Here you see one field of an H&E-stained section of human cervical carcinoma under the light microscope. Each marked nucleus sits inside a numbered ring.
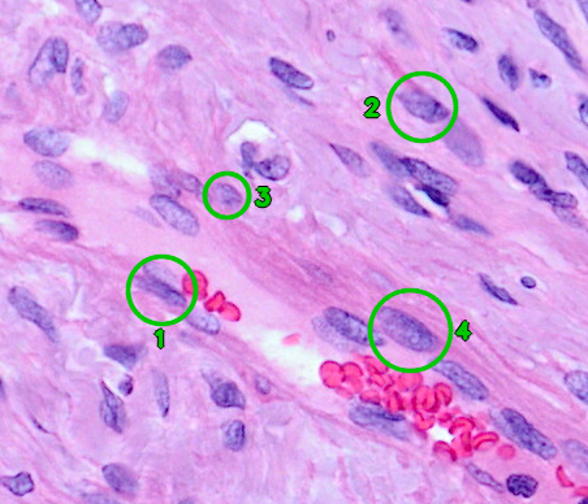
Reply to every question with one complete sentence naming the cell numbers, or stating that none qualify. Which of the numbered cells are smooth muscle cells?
Exactly one of the numbered cells is a smooth muscle cell, namely cell 3.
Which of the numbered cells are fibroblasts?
Cell 2 is a fibroblast, and it is the only one.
